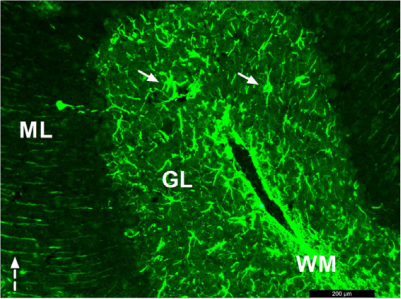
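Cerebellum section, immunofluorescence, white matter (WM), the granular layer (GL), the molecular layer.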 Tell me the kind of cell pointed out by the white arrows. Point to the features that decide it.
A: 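The arrows point to bright star-shaped cell bodies. Many fine processes radiate in all directions from each marked cell. The marked cells lie in the layer between the fibrous core and the outer striated layer.
Hence: astrocytes.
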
